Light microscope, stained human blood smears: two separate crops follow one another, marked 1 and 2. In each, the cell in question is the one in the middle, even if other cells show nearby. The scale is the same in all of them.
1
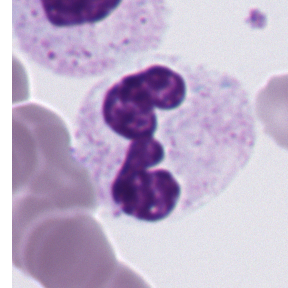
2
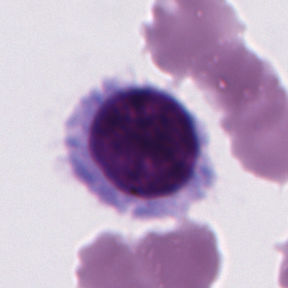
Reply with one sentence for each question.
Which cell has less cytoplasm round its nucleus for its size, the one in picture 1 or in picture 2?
In picture 2 the nucleus takes up the larger part of its cell.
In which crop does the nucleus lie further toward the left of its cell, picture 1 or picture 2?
It is the nucleus in picture 1 that lies further toward the left of its cell.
